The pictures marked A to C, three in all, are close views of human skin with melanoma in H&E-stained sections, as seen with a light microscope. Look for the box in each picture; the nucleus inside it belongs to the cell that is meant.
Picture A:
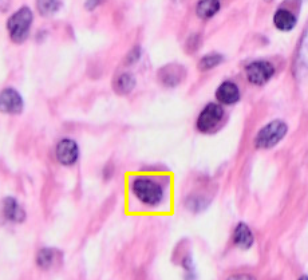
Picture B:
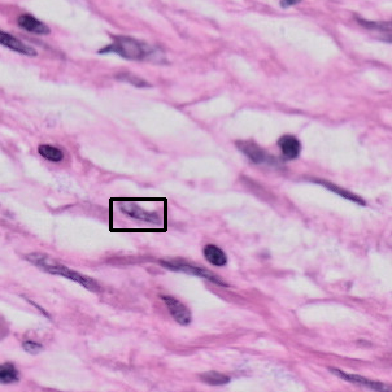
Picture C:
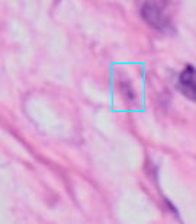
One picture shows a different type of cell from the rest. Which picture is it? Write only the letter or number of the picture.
A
